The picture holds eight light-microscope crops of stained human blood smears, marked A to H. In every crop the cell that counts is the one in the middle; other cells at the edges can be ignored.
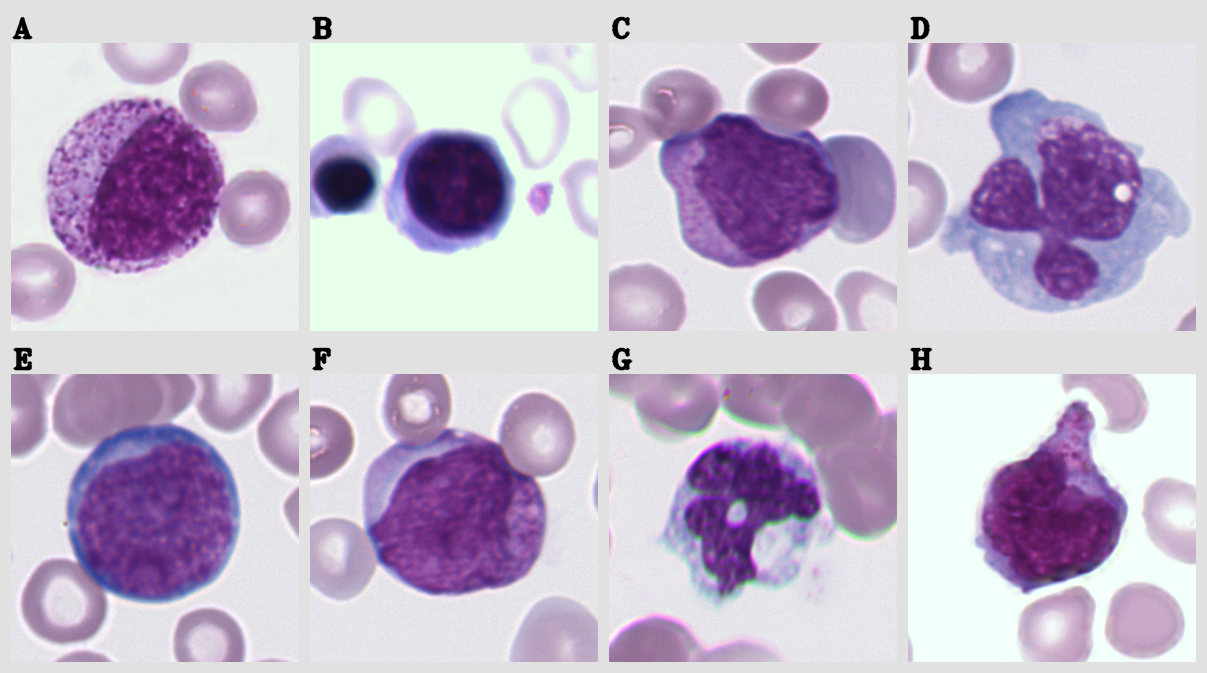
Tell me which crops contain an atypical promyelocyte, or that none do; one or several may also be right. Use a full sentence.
Crops C, F and H each contain a central cell, and these cells are atypical promyelocytes.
